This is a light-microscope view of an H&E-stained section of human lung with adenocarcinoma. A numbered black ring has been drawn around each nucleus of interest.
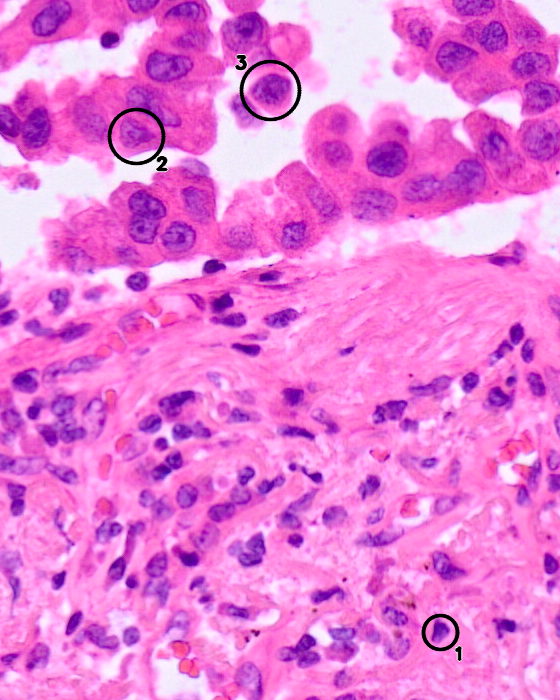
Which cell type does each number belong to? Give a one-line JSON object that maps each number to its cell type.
{"1": "lymphocyte", "2": "carcinoma cell", "3": "carcinoma cell"}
